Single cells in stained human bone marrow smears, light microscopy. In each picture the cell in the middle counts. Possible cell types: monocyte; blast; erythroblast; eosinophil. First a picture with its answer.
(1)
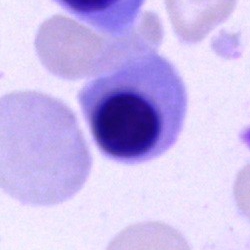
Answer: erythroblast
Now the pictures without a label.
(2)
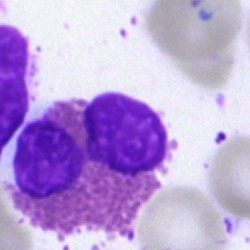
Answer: eosinophil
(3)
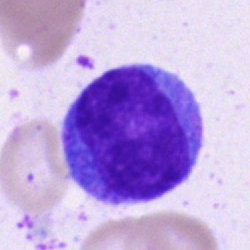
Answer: blast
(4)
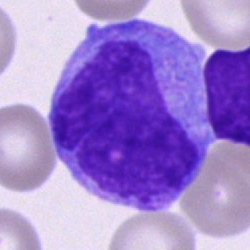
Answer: monocyte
